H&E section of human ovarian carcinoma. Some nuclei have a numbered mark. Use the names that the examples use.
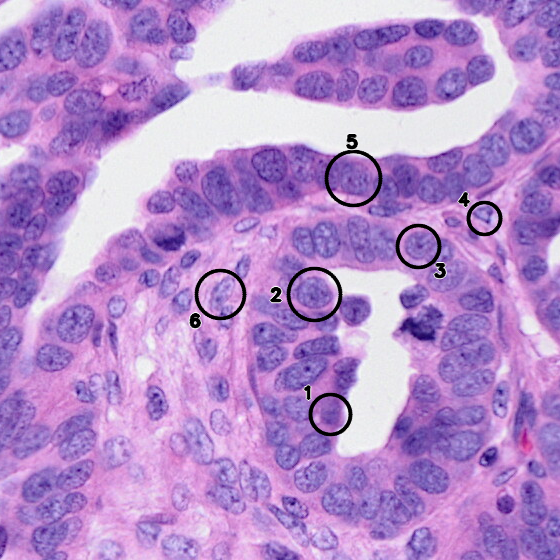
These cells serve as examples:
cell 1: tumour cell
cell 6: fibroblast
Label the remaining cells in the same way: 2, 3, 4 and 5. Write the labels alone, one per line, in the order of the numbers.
tumour cell
tumour cell
fibroblast
tumour cell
